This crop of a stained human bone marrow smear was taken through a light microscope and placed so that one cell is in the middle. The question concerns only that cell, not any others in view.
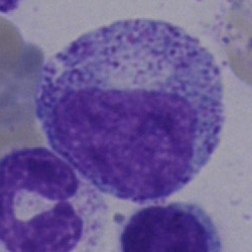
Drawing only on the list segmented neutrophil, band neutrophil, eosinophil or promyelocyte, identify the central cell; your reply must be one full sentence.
For this crop, the central cell is a promyelocyte.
